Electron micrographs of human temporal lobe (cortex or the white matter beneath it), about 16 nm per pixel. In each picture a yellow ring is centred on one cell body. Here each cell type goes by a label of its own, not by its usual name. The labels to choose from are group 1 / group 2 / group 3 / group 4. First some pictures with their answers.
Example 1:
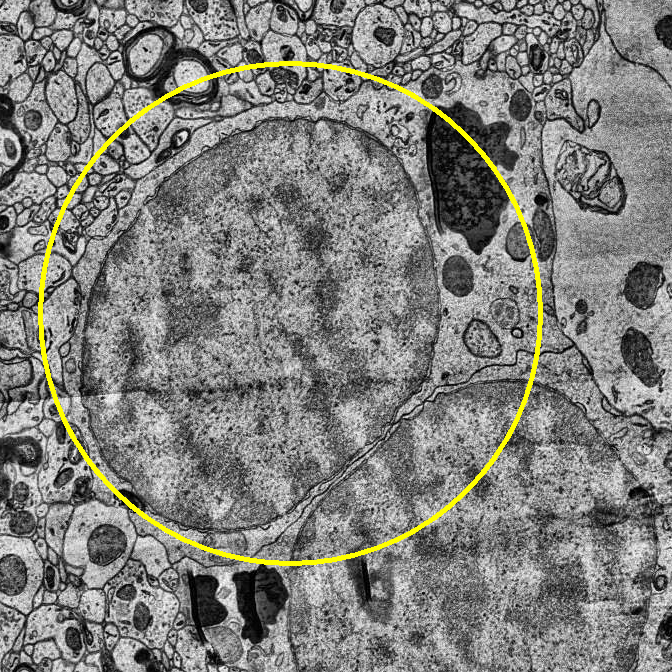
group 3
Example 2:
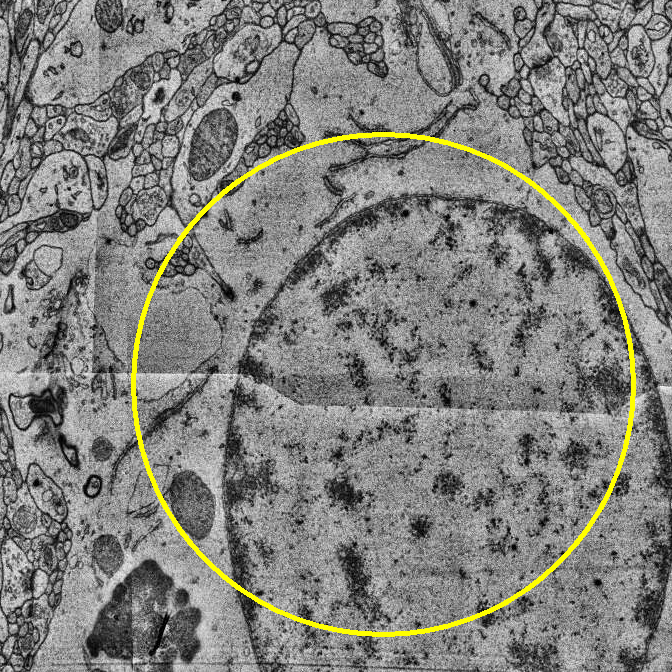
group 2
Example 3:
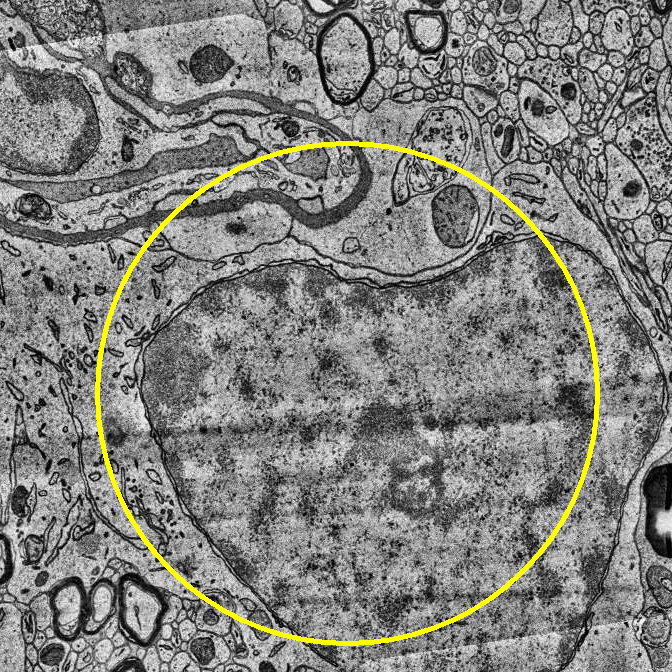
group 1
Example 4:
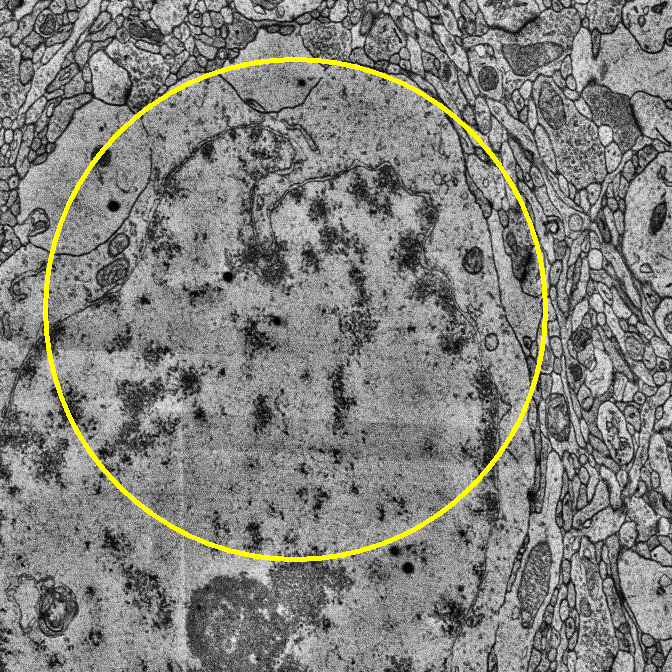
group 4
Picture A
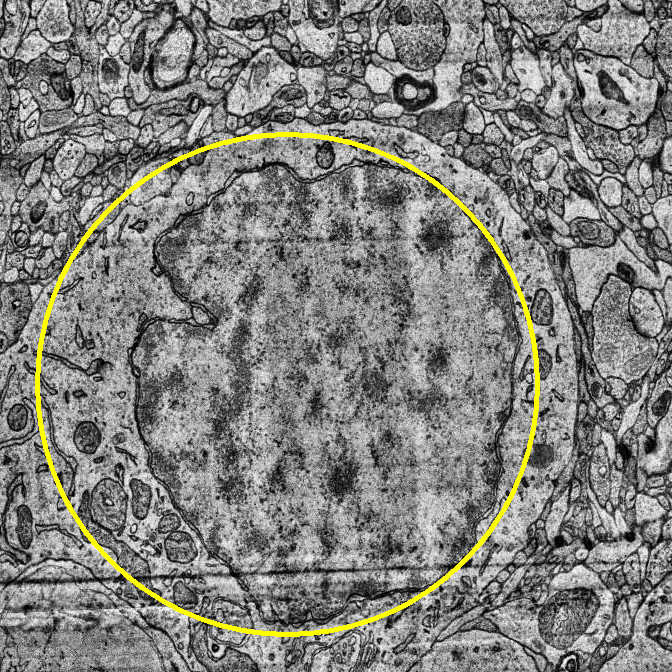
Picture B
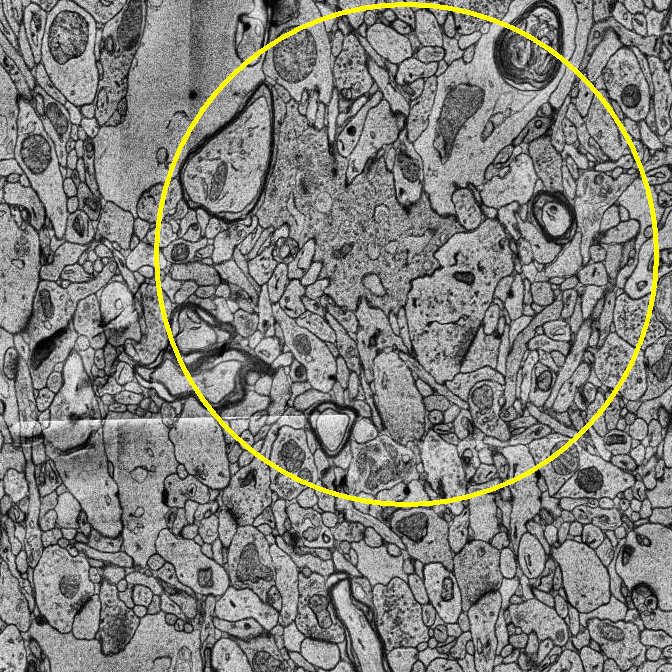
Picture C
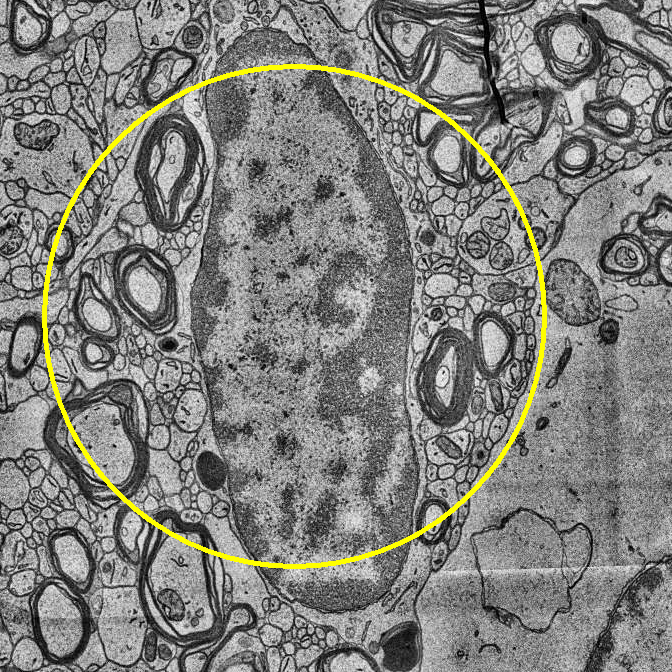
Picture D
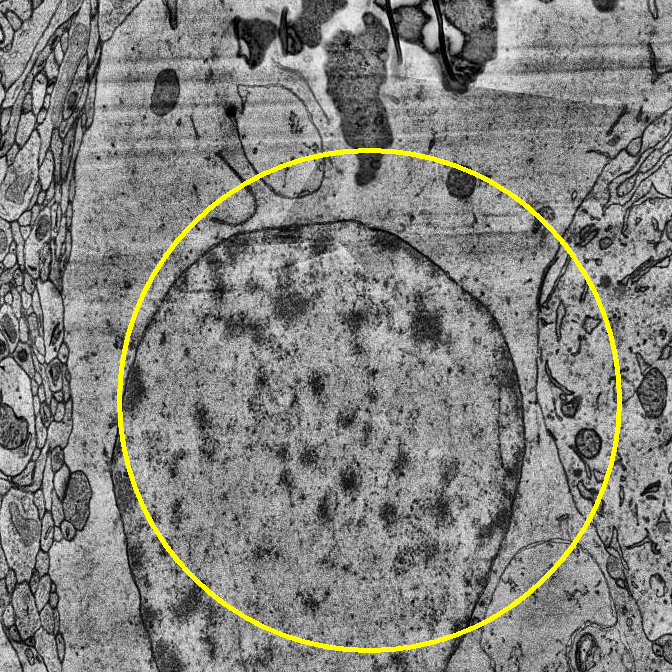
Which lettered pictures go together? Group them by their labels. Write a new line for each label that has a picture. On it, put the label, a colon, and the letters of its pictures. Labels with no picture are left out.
group 1: C
group 2: D
group 3: B
group 4: A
